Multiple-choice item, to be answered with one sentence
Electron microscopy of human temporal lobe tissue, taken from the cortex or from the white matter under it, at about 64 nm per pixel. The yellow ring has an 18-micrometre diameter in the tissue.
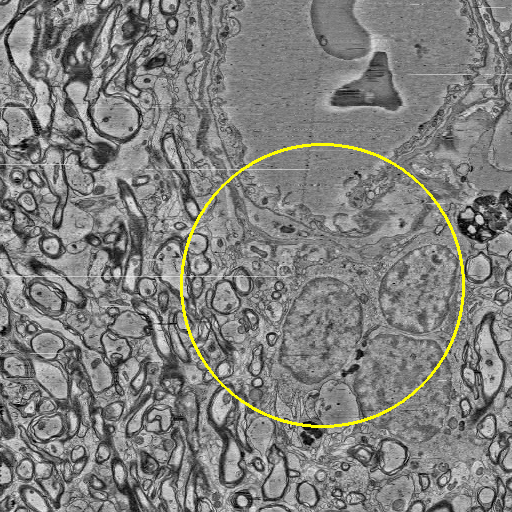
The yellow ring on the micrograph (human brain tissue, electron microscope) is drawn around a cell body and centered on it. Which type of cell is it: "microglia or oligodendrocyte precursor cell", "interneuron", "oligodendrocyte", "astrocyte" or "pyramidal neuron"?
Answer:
The ring is centered on an oligodendrocyte.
